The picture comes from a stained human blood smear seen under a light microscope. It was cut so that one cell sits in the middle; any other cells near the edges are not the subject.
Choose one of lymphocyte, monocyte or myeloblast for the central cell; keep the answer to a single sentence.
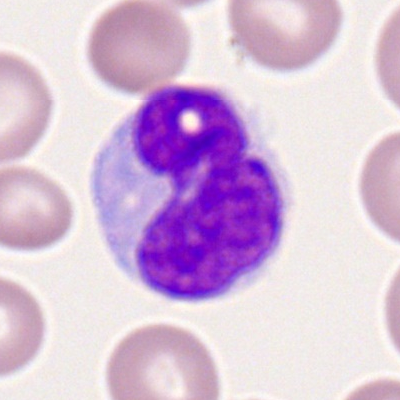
The centered cell in this crop is a monocyte.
